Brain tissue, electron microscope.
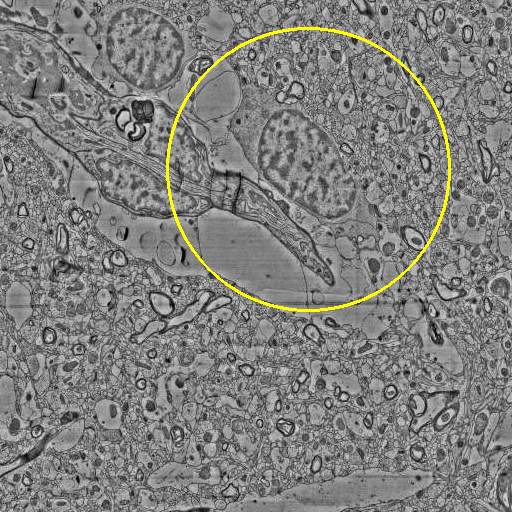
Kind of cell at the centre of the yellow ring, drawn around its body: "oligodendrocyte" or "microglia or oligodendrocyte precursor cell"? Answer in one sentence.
The ring's centre falls on an oligodendrocyte.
